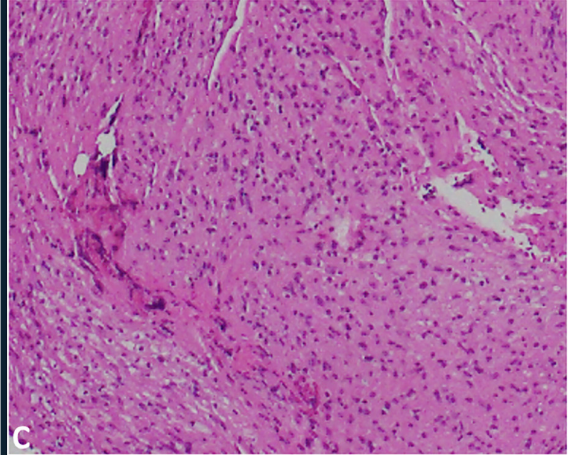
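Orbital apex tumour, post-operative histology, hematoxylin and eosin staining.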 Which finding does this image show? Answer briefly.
Spindle cell lesion.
